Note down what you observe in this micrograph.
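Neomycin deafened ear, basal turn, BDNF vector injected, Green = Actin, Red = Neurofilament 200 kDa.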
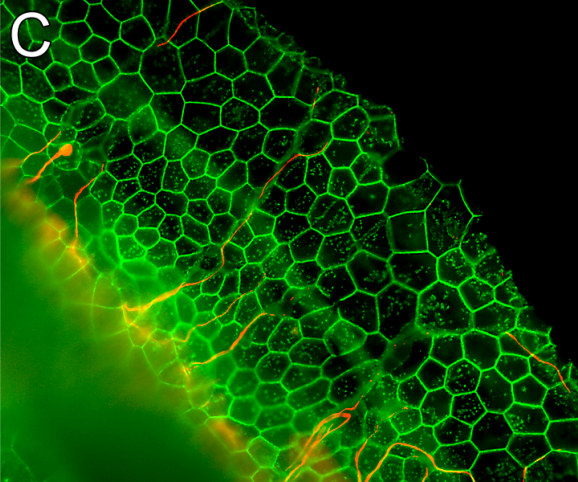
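Surface view of a flat epithelium over the basilar membrane area with red nerve fibers running across it. Green outlines form a continuous mosaic of polygonal cells, their interiors dotted with fine green puncta; no specialised sensory cells are seen. At left a broad diffuse green and orange band marks the tissue edge, from which thin red-orange fibers run outward in gently curving paths between the cells. One fiber bears a round swelling near its tip. The cell sheet ends in an irregular free border at upper right against dark background.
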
